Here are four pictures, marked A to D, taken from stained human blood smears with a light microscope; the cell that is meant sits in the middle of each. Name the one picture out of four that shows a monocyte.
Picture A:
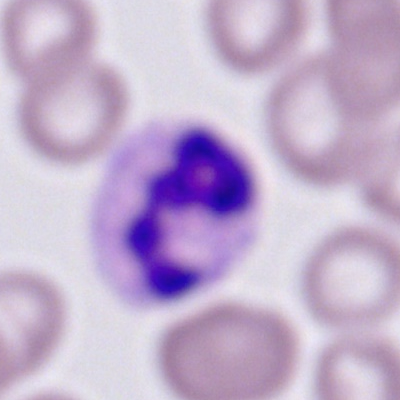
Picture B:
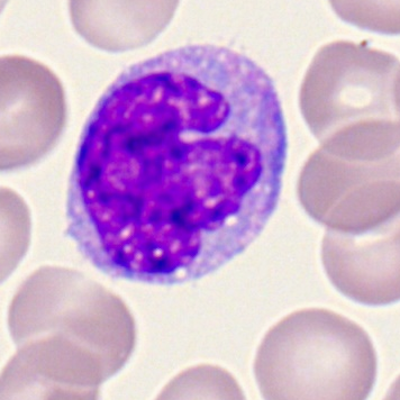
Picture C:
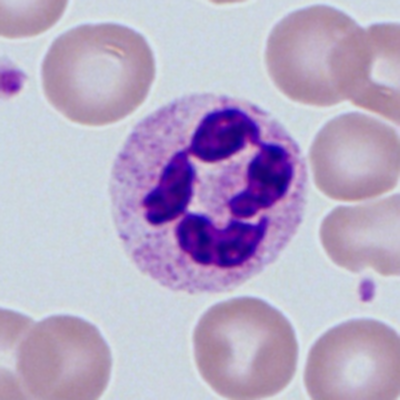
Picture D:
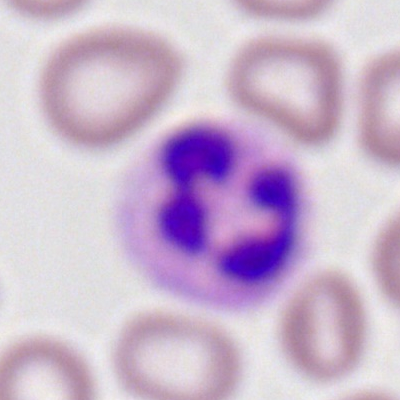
B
